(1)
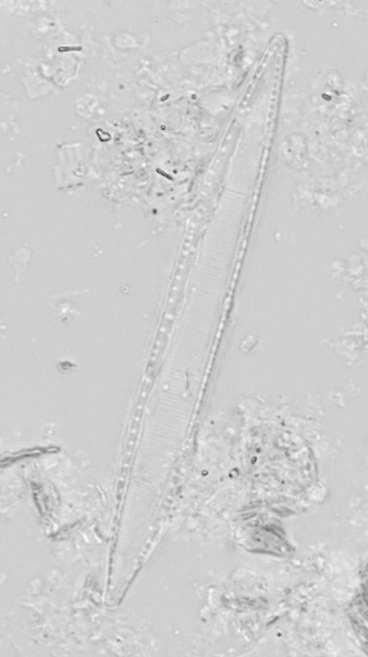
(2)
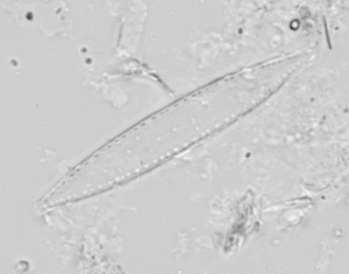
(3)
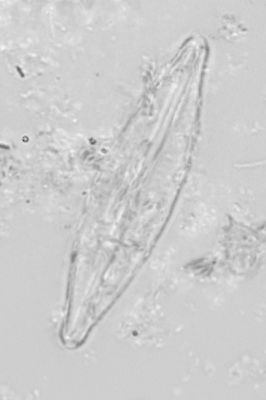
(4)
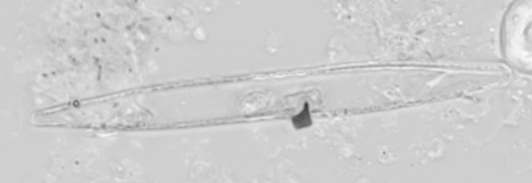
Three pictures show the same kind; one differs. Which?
Picture 3: Navicula, while the others are Nitzschia.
